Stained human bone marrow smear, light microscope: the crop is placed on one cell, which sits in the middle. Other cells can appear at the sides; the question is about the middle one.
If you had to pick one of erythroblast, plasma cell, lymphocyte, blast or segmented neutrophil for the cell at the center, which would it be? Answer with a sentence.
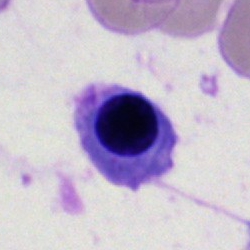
In the central position of this crop, the cell is an erythroblast.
